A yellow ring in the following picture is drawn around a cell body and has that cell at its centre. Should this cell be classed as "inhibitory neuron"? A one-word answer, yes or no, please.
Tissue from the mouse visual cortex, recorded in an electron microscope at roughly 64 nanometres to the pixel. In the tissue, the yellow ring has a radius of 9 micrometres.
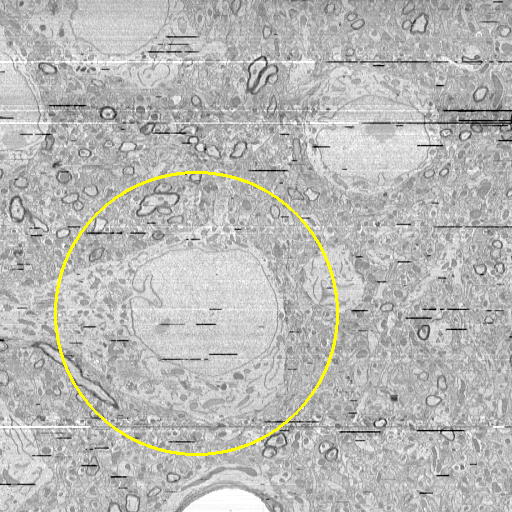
No, it is of another kind.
